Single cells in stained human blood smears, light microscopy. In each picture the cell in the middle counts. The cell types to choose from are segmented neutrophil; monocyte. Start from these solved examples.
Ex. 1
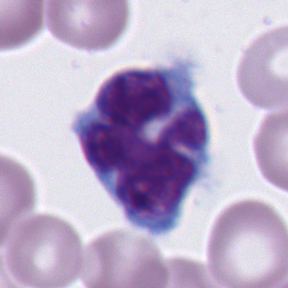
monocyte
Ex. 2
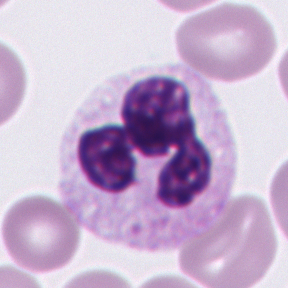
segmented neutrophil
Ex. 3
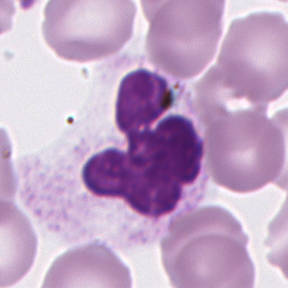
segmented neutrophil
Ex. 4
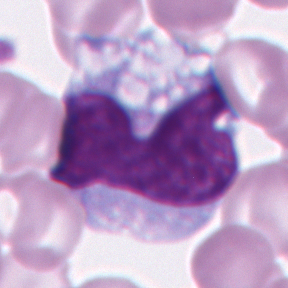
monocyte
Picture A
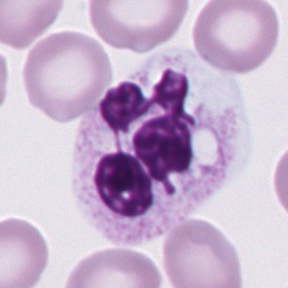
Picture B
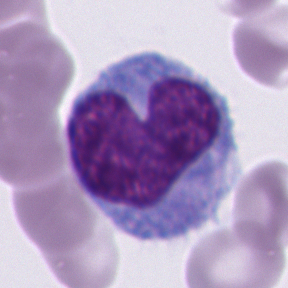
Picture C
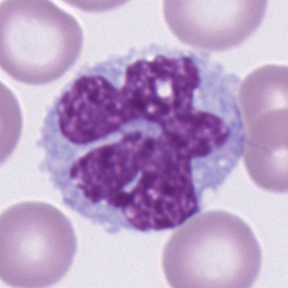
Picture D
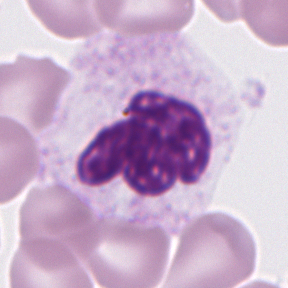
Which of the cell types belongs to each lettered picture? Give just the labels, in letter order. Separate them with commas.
segmented neutrophil, monocyte, monocyte, segmented neutrophil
